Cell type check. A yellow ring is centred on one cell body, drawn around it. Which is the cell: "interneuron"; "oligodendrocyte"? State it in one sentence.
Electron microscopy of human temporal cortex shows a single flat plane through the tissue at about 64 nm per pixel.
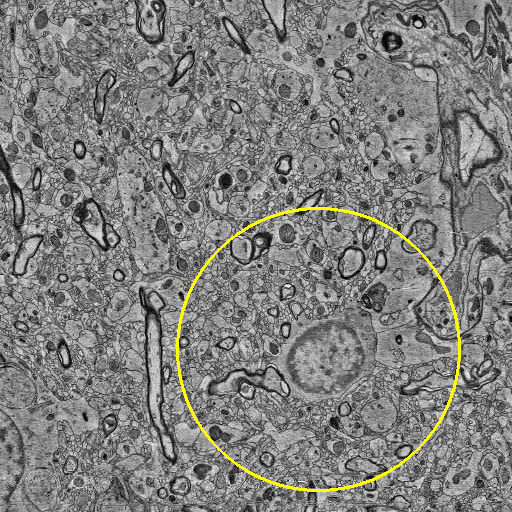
The cell body at the ring's centre belongs to an oligodendrocyte.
